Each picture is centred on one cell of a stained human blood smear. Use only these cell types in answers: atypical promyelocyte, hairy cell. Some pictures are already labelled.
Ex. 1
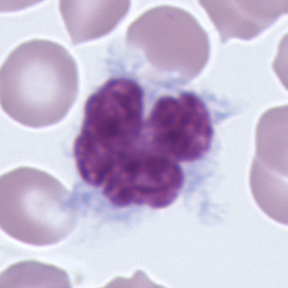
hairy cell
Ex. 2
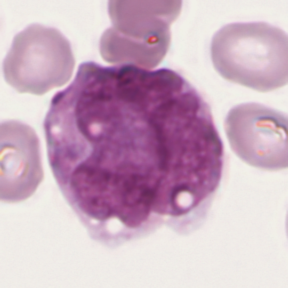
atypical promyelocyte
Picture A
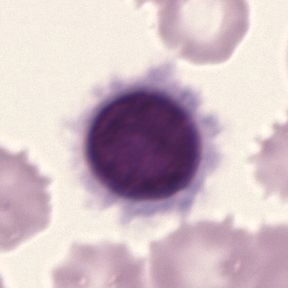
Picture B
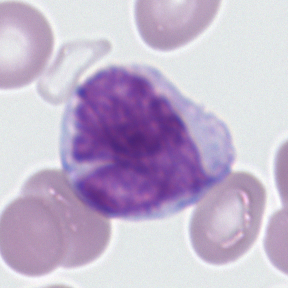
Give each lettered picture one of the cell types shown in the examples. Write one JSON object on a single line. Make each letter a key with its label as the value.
{"A": "hairy cell", "B": "atypical promyelocyte"}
